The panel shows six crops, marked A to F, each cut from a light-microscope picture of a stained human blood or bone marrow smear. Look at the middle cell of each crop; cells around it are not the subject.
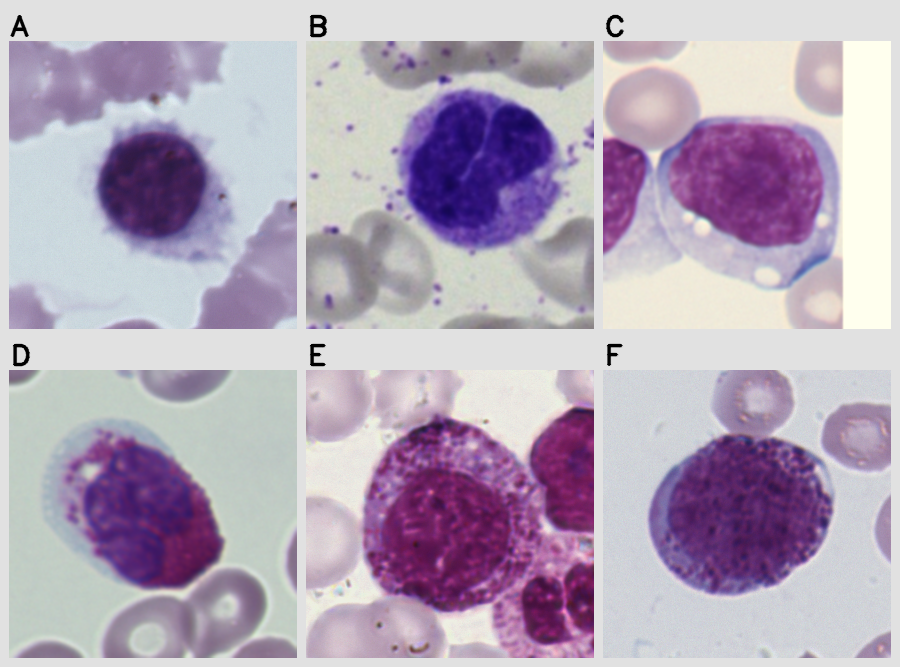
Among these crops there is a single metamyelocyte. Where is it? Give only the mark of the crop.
B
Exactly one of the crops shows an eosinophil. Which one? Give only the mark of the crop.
D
